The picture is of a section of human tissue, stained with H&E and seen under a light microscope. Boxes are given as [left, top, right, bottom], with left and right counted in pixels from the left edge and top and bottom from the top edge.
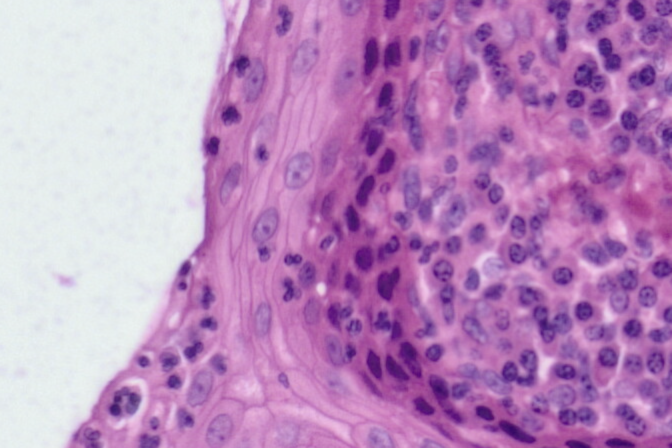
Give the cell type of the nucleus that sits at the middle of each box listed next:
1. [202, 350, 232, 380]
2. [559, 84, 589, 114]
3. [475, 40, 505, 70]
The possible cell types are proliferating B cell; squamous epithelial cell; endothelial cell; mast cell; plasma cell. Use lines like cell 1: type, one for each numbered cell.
cell 1: squamous epithelial cell
cell 2: plasma cell
cell 3: plasma cell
